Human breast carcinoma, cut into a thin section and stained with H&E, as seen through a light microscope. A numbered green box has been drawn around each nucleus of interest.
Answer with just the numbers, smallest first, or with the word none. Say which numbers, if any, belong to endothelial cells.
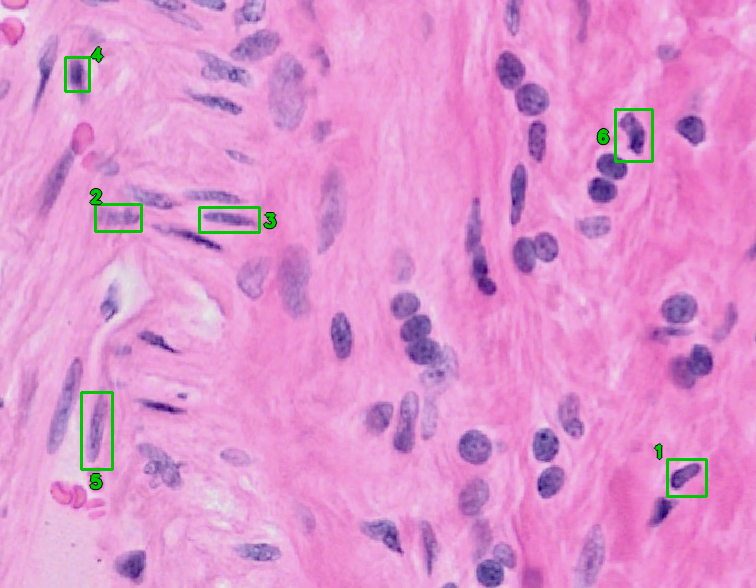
2, 3, 4, 5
